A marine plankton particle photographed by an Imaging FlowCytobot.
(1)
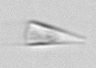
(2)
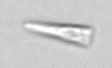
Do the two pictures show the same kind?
Yes, both are Licmophora.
